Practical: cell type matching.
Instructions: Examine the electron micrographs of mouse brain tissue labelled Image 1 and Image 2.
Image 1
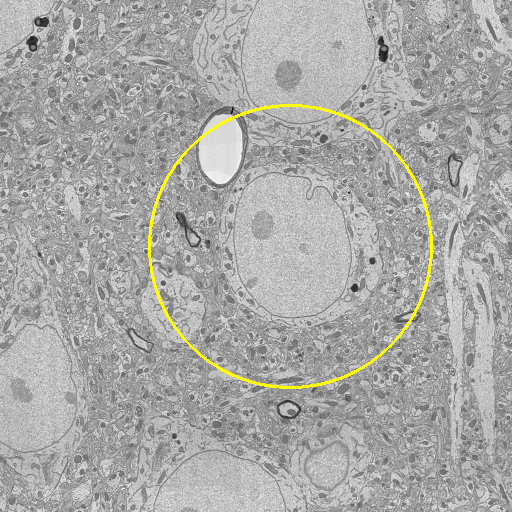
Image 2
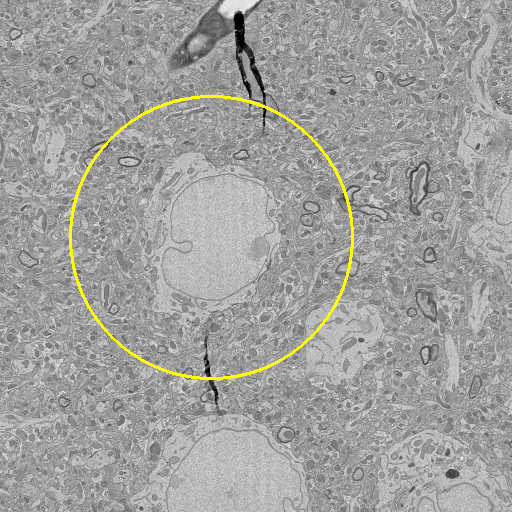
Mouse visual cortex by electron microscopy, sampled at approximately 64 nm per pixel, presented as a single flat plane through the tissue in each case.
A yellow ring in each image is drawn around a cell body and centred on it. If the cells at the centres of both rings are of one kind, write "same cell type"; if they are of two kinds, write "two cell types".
same cell type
